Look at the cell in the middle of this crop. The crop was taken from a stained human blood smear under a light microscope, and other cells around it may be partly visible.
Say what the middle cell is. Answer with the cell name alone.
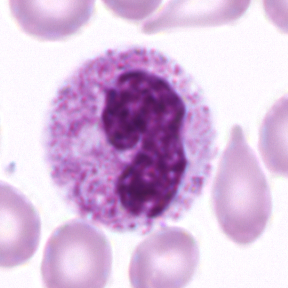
band neutrophil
